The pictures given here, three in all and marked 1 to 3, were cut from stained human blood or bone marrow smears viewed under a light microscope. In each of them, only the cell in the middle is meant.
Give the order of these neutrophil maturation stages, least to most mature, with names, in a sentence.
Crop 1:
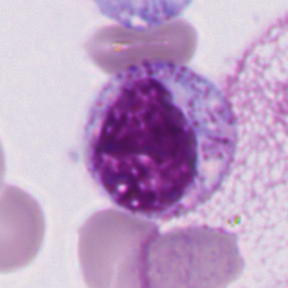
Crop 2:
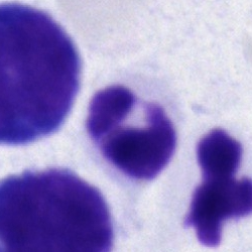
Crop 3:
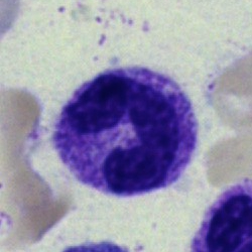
It is in the order crop 1 (a metamyelocyte), crop 3 (a band neutrophil) and crop 2 (a segmented neutrophil) that maturity increases.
